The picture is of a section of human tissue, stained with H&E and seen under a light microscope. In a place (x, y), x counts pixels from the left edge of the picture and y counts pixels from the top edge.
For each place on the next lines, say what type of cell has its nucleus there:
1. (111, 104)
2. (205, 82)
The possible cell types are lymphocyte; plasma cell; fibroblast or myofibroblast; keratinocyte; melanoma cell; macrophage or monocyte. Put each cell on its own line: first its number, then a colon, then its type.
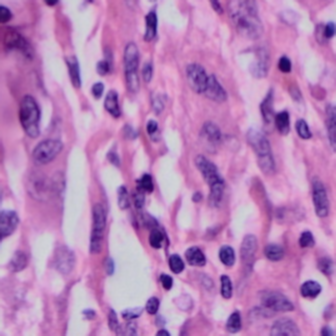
1: lymphocyte
2: melanoma cell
